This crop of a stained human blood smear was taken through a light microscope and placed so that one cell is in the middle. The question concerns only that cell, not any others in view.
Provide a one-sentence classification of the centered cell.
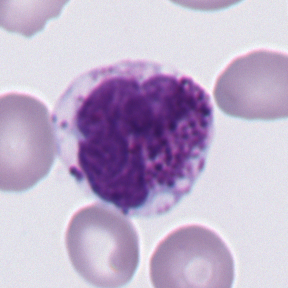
Positioned in the middle of the crop is a basophil.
